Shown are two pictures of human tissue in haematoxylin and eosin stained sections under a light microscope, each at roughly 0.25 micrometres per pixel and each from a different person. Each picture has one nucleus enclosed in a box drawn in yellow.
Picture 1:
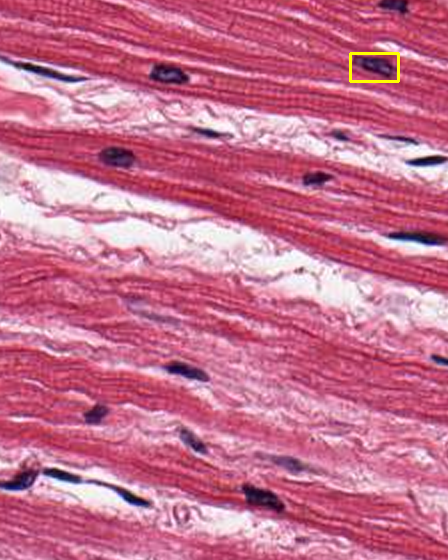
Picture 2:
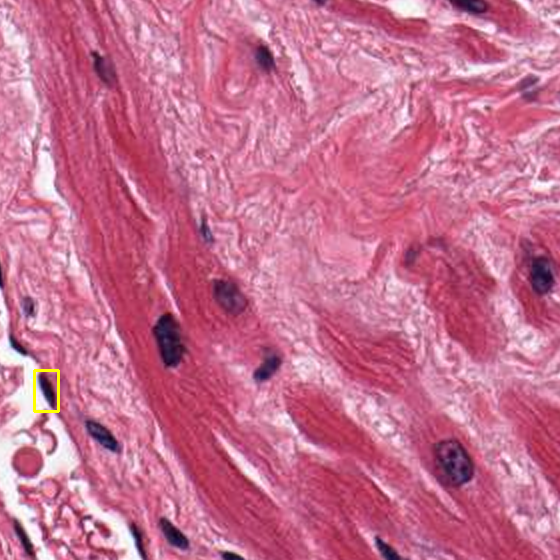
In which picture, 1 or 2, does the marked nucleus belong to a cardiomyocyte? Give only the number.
1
